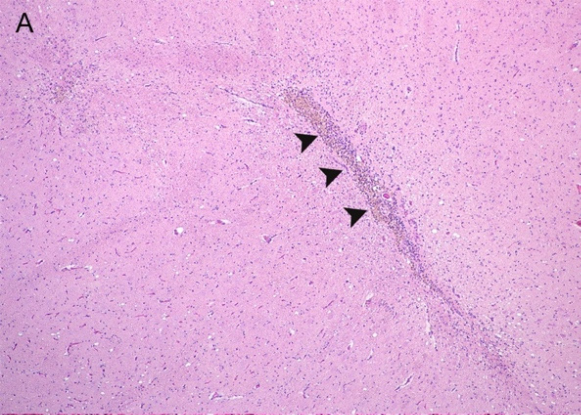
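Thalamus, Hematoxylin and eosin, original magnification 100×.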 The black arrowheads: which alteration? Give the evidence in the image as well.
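A narrow band of densely cellular tissue runs obliquely through pale pink neuropil. The band is tinged tan-brown, unlike the surrounding neuropil. That points to this answer: a linear tract with a cellular infiltrate and necrosis.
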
